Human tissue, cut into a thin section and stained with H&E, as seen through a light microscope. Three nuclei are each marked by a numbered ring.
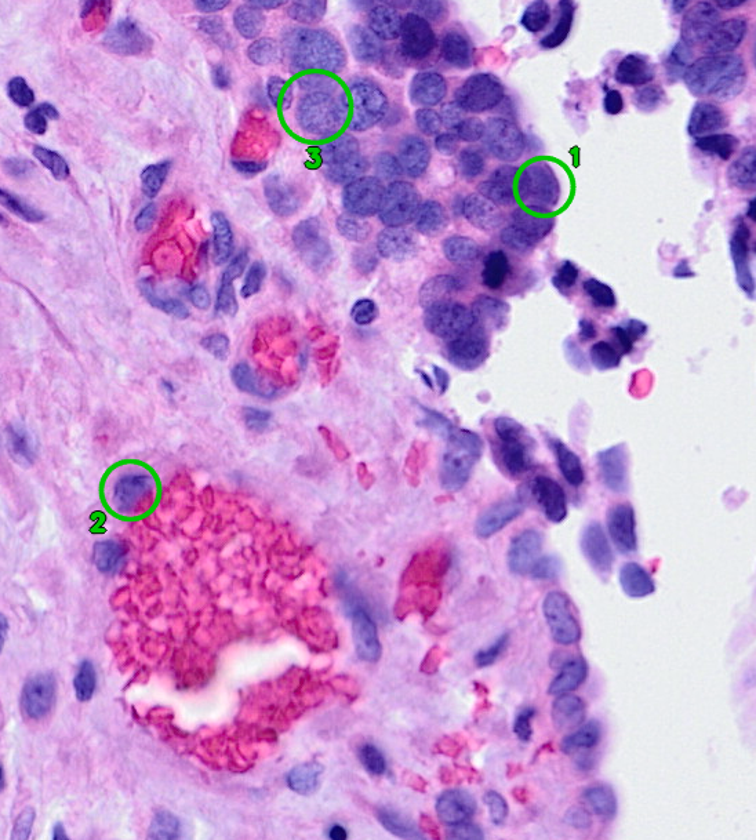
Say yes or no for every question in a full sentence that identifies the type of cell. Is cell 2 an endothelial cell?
Yes, the cell identified by number 2 is an endothelial cell.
